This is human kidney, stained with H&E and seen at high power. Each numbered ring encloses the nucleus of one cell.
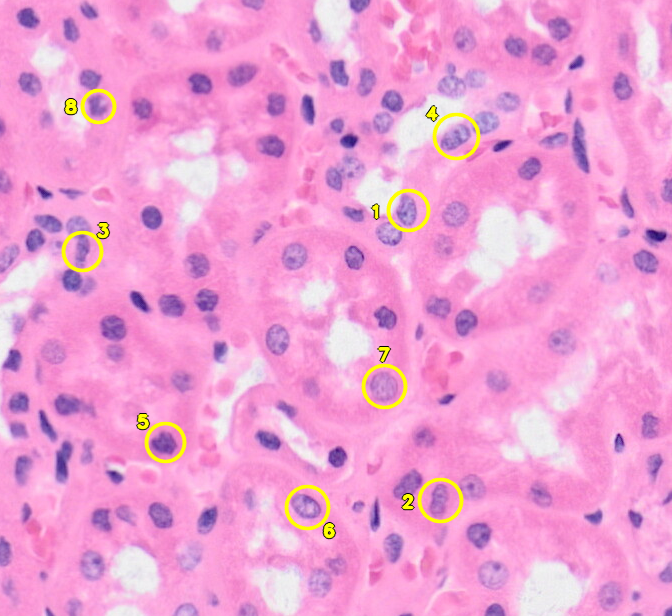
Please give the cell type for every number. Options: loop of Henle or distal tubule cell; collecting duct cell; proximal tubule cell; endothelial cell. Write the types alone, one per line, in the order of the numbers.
collecting duct cell
proximal tubule cell
collecting duct cell
collecting duct cell
proximal tubule cell
proximal tubule cell
proximal tubule cell
loop of Henle or distal tubule cell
